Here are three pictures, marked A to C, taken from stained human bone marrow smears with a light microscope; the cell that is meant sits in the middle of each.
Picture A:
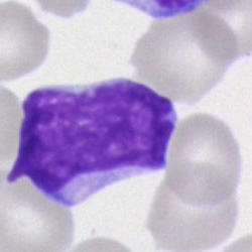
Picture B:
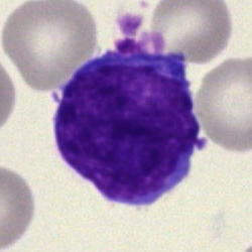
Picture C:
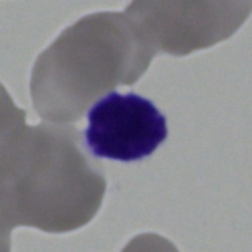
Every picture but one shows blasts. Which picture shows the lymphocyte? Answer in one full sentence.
The picture with the lymphocyte is C.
